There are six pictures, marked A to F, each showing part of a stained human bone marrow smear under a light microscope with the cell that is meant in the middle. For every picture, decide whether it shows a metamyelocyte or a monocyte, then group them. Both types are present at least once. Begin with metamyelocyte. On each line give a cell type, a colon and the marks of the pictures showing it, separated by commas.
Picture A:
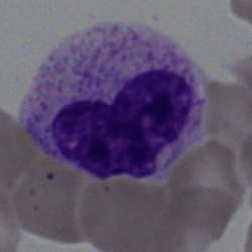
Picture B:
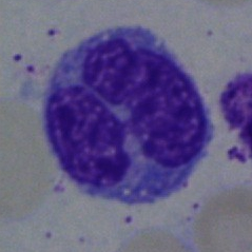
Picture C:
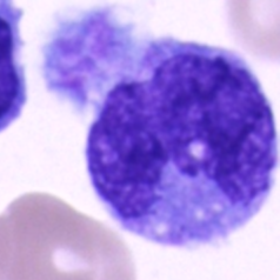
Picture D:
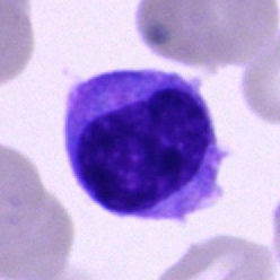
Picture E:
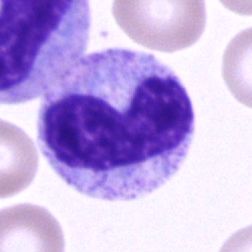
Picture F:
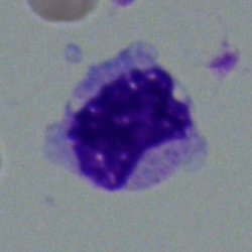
metamyelocyte: A, E, F
monocyte: B, C, D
